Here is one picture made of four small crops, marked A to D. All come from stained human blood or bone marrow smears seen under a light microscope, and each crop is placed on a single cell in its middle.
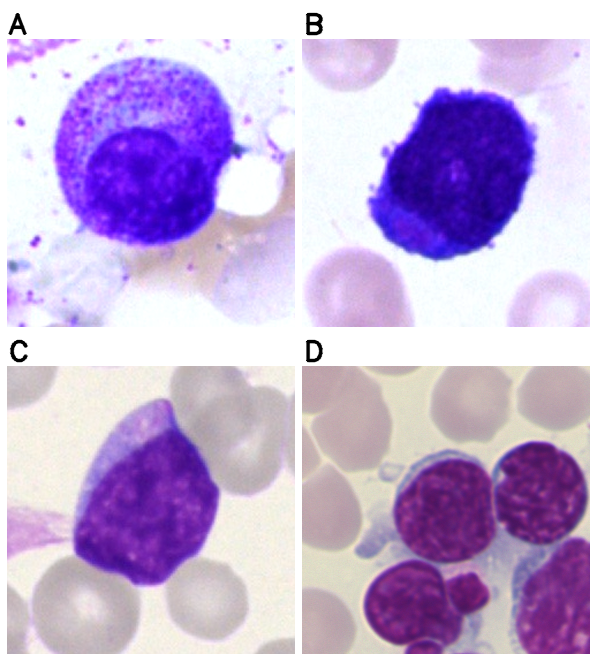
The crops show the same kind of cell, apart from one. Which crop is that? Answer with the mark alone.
A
